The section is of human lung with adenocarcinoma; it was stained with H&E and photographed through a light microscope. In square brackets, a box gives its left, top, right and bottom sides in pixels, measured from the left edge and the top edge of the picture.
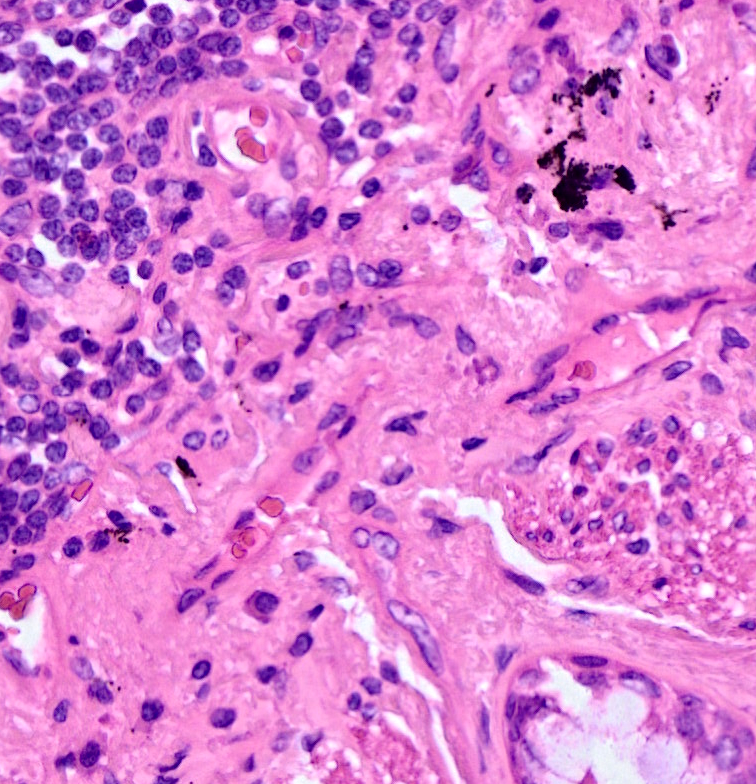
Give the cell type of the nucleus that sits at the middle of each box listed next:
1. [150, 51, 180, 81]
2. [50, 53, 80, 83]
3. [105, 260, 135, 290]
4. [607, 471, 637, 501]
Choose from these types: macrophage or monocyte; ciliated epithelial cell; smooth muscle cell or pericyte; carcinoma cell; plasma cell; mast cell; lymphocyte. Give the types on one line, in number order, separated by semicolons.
lymphocyte; lymphocyte; lymphocyte; smooth muscle cell or pericyte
